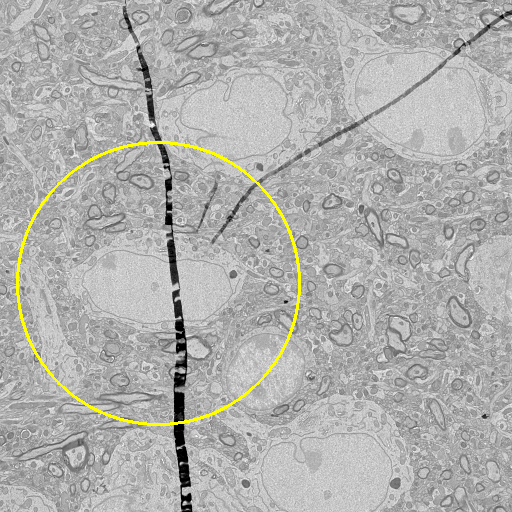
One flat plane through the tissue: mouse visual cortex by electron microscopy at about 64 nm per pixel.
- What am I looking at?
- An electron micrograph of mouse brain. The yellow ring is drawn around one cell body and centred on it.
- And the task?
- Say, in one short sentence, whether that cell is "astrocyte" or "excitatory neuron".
The cell in the middle of the ring is an excitatory neuron.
